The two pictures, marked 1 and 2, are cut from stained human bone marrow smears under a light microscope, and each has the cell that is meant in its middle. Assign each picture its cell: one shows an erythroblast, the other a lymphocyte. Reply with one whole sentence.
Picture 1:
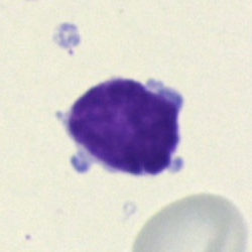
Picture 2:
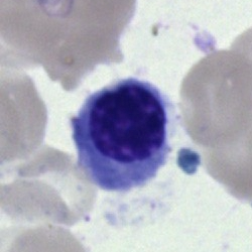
The cell in picture 1 is a lymphocyte, and the one in picture 2 is an erythroblast.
